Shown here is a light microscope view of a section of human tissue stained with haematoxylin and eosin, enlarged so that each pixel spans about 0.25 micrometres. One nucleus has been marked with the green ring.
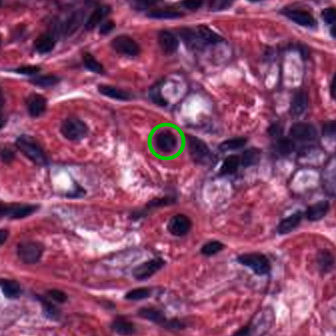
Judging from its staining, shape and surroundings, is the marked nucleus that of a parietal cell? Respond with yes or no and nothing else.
yes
